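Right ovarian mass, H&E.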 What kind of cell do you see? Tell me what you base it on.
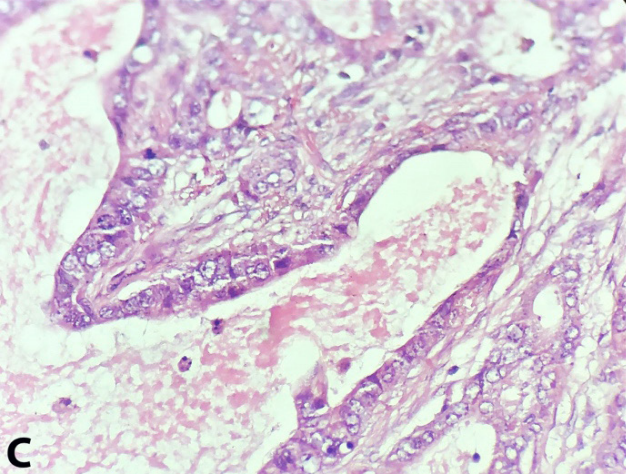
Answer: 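Cuboidal to columnar cells. Glands lined by cuboidal to tall cells. Cells have large pale nuclei with visible nucleoli. Cytoplasm is moderate and purplish-pink.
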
